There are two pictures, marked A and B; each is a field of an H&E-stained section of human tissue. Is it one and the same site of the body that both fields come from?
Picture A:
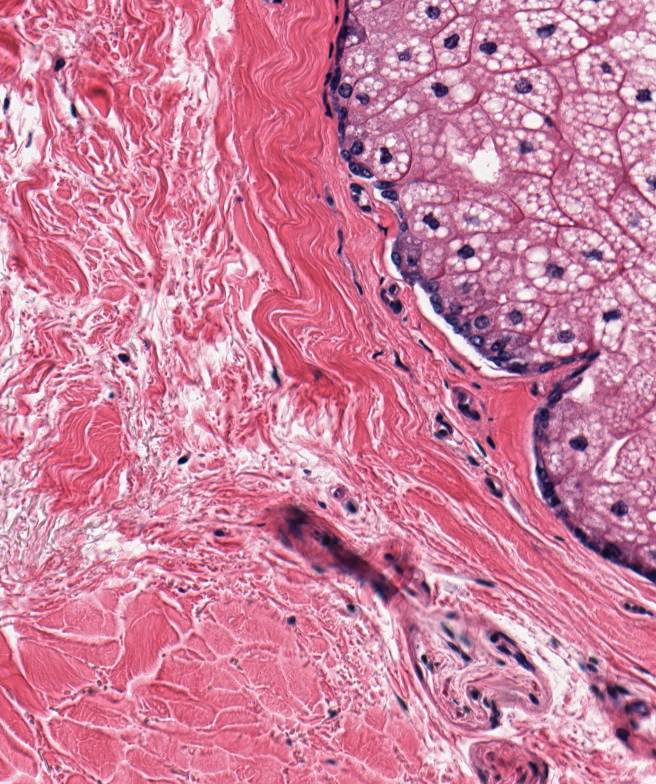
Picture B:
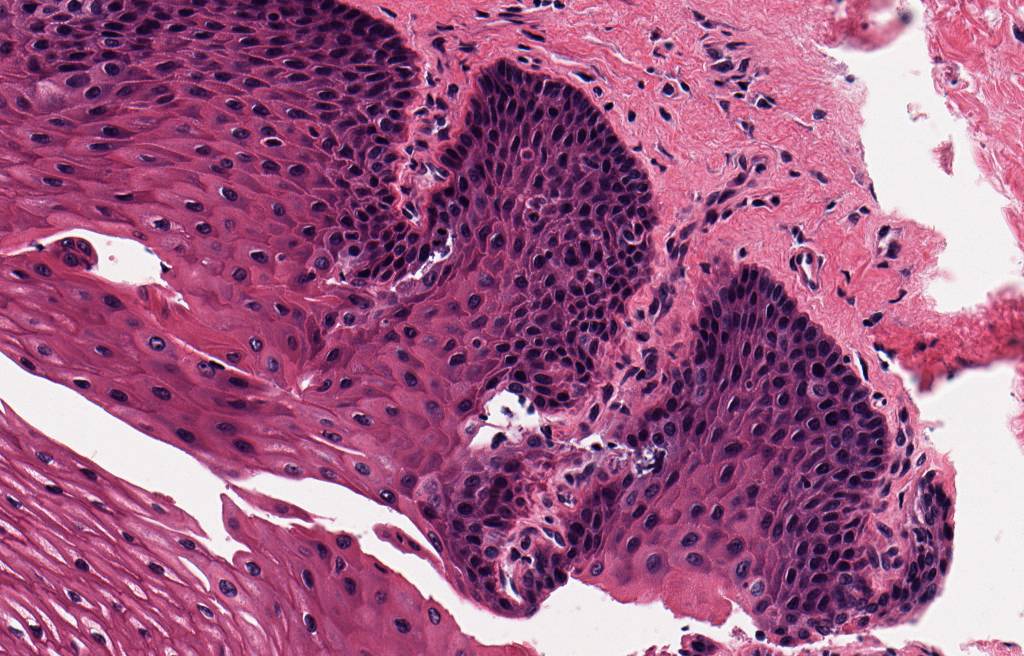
no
